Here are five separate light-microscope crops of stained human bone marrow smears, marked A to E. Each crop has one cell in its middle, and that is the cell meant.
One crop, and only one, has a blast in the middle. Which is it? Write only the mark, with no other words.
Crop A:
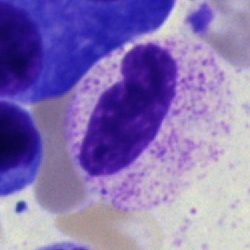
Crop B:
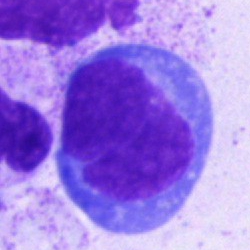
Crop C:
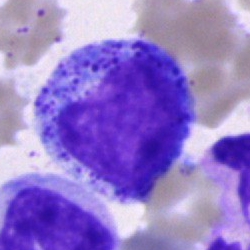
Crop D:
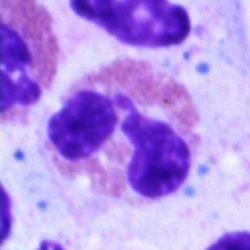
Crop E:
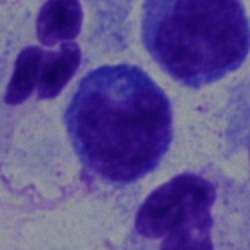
B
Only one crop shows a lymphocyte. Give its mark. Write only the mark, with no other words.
E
